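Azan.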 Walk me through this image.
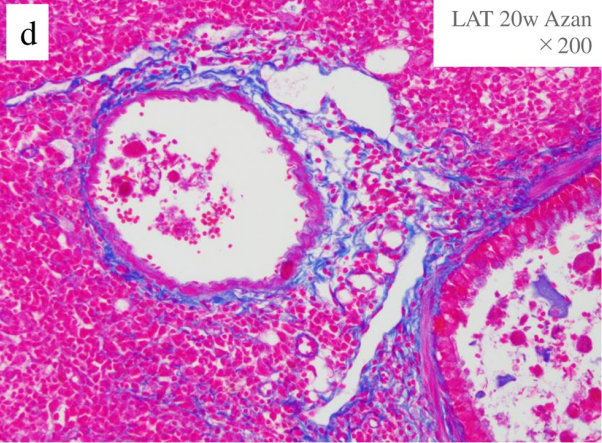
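Most of the field is filled by densely packed cells stained red-magenta. A rounded space containing loose red debris is ringed by a band of fine blue fibres, and blue strands run on between the red cells toward an airway lined by columnar epithelium at the lower right.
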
